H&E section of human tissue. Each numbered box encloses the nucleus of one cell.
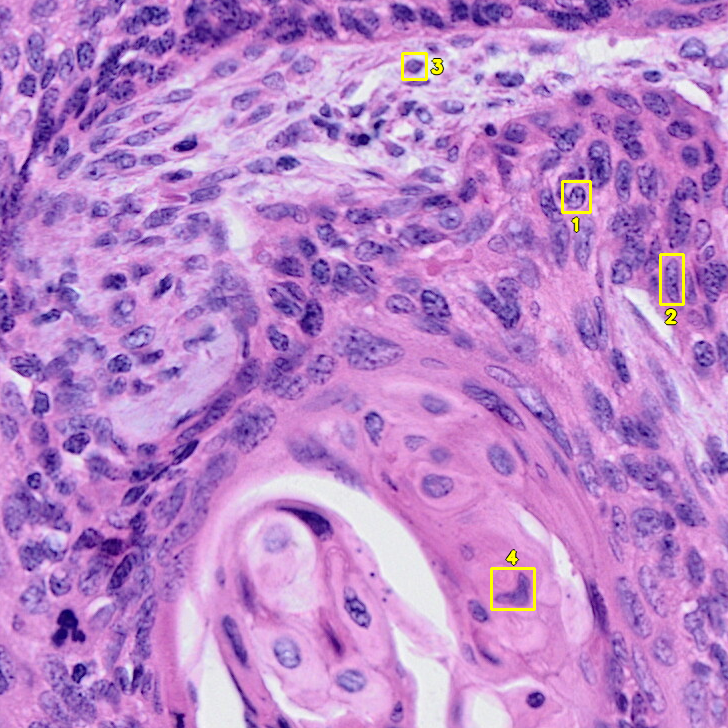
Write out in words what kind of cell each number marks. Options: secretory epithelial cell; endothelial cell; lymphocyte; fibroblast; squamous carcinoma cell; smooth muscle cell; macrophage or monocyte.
Cells 1, 2 and 4 are squamous carcinoma cells. Cell 3 is a fibroblast.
